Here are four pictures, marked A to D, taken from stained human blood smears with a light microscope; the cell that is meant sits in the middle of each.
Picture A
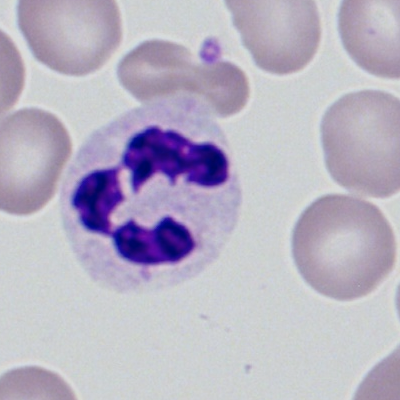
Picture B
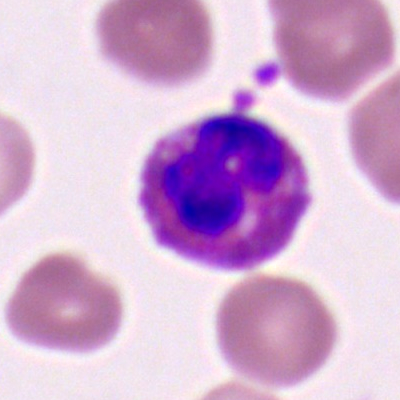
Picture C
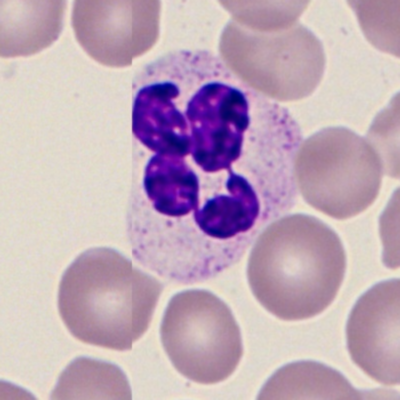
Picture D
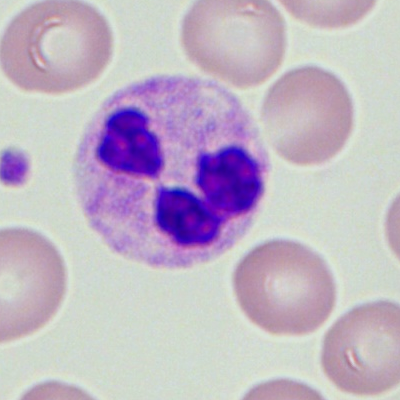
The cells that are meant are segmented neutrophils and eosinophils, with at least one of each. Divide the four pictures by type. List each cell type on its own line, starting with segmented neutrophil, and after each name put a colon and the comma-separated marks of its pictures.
segmented neutrophil: A, C, D
eosinophil: B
